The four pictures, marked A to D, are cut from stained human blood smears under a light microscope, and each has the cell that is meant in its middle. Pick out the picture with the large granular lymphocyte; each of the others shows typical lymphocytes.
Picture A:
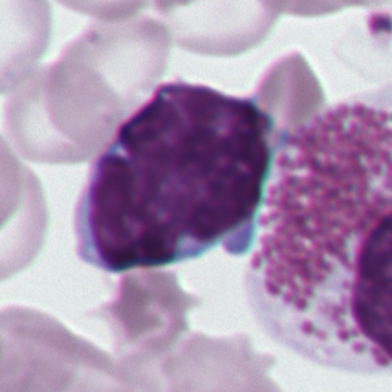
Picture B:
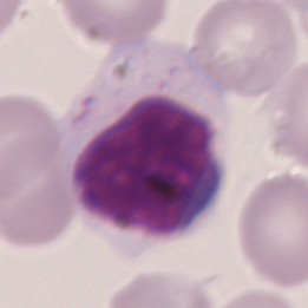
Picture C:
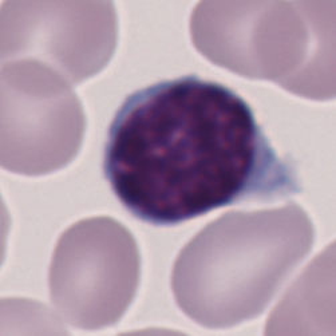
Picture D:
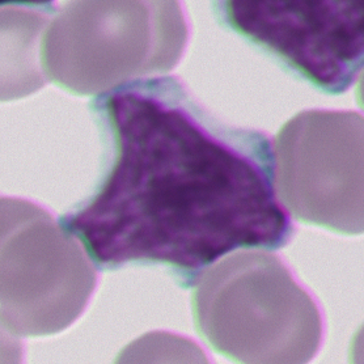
B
